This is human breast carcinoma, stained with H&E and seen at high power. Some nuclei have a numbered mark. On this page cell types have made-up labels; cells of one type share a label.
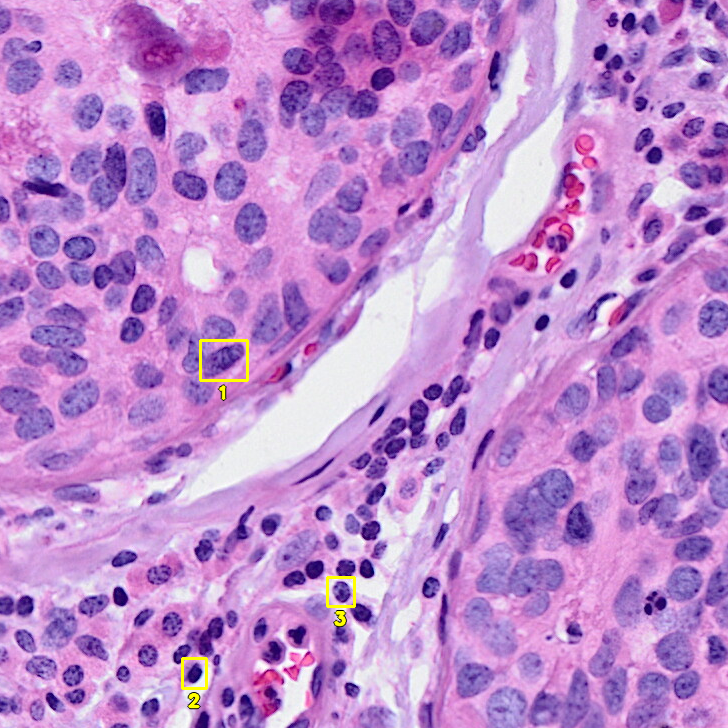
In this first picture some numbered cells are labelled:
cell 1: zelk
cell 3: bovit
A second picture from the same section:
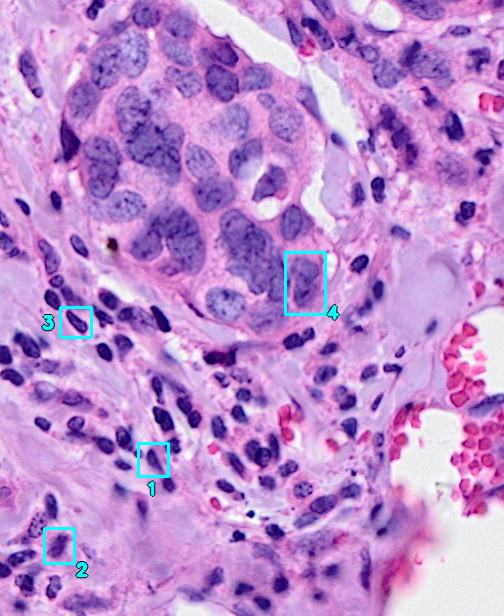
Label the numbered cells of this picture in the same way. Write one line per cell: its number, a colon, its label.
1: bovit
2: bovit
3: bovit
4: zelk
